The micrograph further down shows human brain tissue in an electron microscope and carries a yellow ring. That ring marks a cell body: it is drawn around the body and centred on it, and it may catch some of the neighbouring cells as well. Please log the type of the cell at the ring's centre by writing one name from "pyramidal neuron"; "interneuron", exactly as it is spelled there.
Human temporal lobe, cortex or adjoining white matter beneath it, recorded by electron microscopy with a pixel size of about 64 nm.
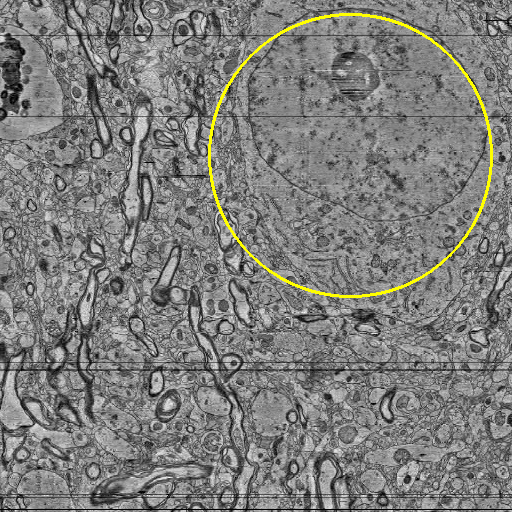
pyramidal neuron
